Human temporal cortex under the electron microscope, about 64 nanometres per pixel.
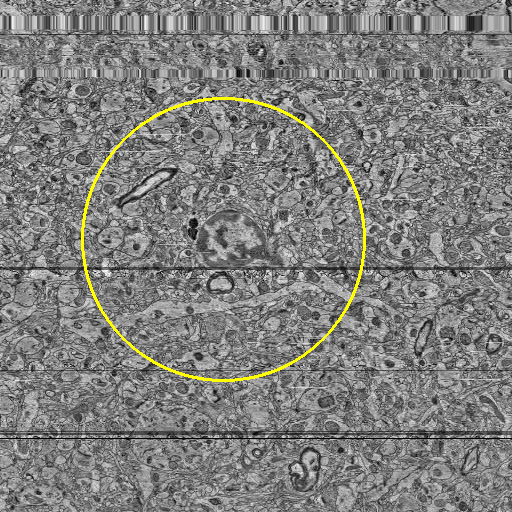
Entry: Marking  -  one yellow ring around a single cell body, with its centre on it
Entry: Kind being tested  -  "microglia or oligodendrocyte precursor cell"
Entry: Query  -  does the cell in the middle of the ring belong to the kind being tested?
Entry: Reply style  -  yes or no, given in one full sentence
Yes, the centred cell within the ring in the picture does belong to the tested kind.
